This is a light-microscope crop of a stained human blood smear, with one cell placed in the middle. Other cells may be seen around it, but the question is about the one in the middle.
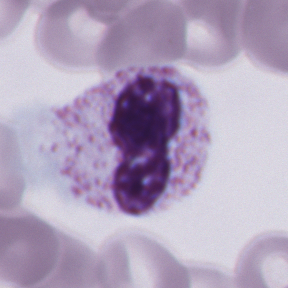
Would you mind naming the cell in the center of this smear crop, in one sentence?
Where the crop is centred, there is a segmented neutrophil.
